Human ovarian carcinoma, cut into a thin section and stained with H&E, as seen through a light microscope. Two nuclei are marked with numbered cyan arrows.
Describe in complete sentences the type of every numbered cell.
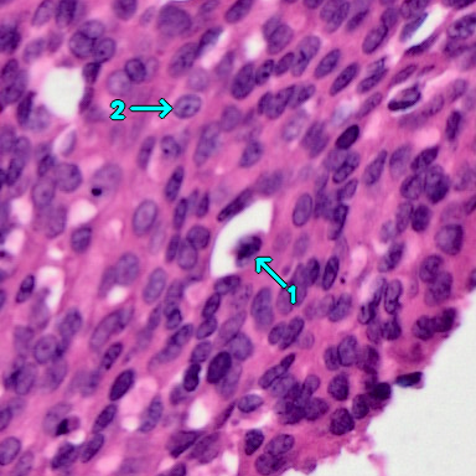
Cell 1 is a carcinoma cell and cell 2 is a macrophage or monocyte.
